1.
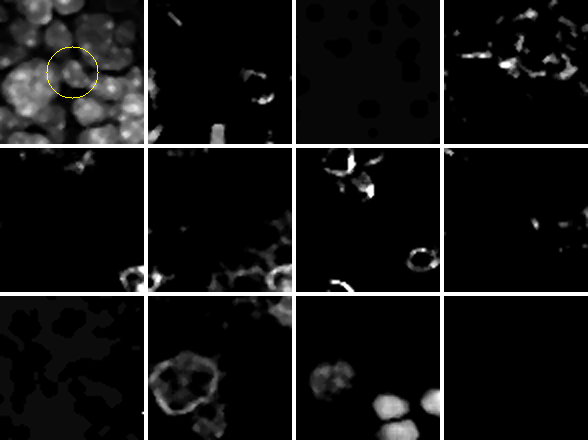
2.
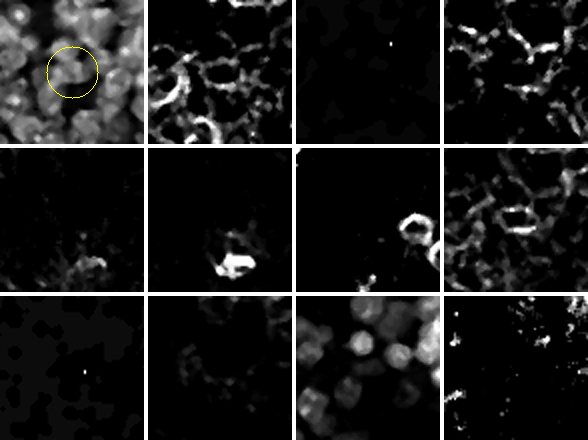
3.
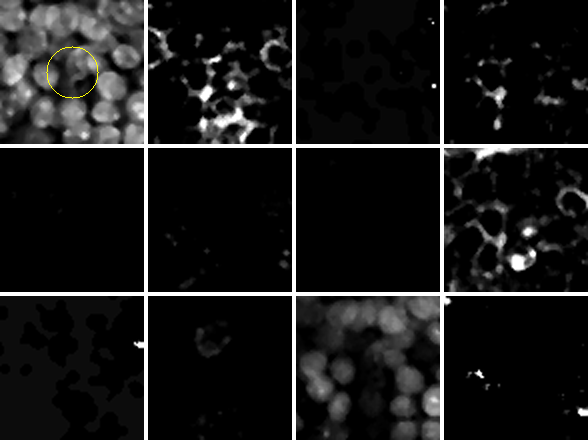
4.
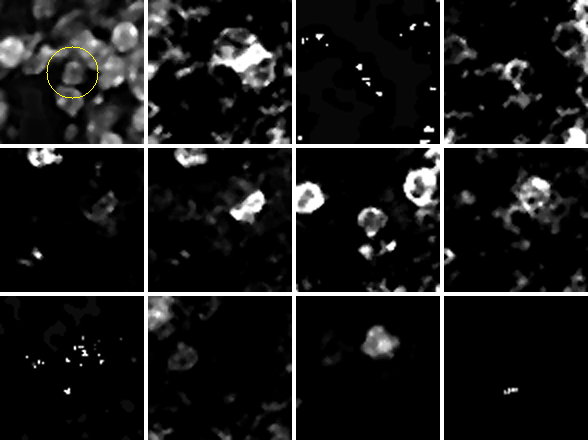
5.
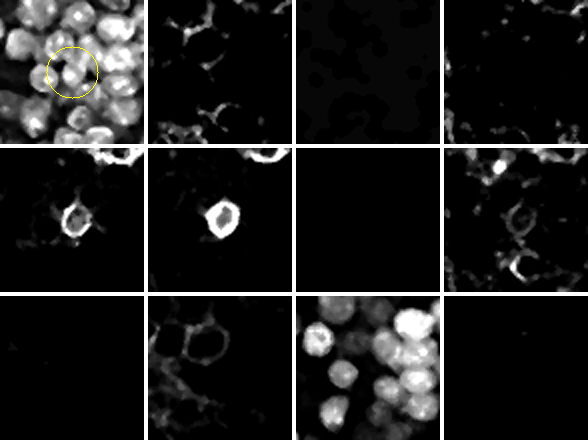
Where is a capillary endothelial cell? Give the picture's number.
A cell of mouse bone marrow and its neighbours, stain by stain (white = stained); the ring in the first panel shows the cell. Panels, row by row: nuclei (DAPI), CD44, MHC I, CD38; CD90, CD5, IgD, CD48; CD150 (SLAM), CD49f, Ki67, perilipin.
1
